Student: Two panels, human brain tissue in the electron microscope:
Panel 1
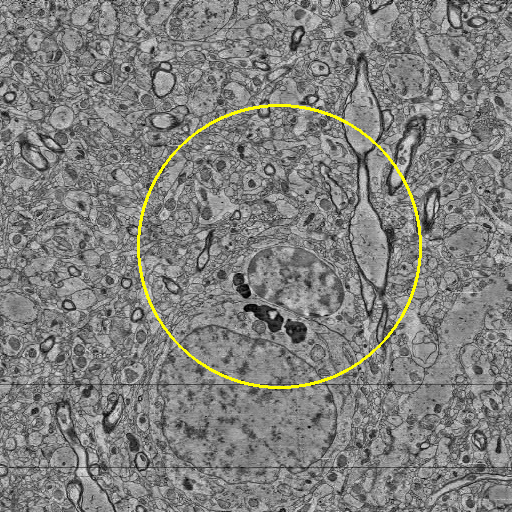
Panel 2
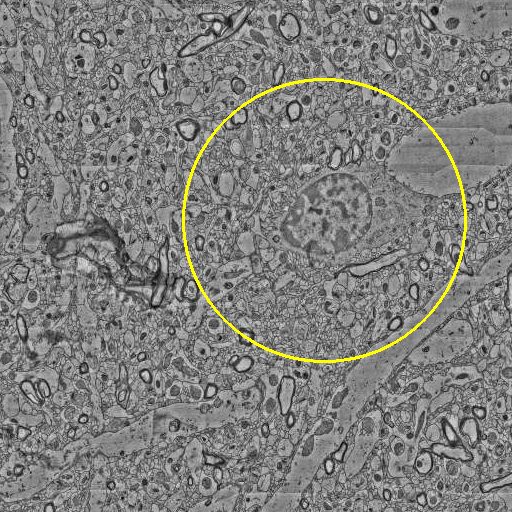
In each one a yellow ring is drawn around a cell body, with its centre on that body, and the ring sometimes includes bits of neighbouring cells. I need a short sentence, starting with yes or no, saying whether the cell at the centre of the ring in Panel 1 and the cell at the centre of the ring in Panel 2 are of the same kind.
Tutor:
No, they are two kinds of cell.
